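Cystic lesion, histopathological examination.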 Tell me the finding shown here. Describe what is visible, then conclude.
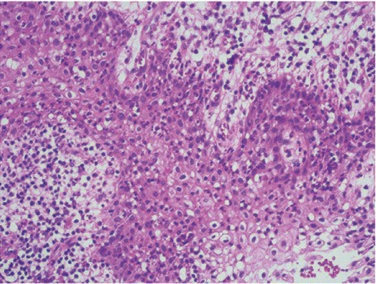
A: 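Pink stratified epithelial cells with pale cytoplasm form irregular ridges. Many small dark round nuclei of inflammatory cells lie among and around the epithelial cells. That points to this answer: inflammatory cells infiltration.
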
